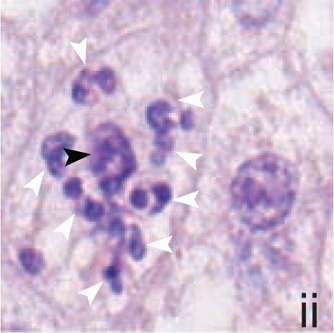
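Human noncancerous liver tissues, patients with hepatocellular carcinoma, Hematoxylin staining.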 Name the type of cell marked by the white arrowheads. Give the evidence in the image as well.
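Small cells with dark nuclei split into several lobes. They cluster around and over one larger pale cell.
Neutrophils.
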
